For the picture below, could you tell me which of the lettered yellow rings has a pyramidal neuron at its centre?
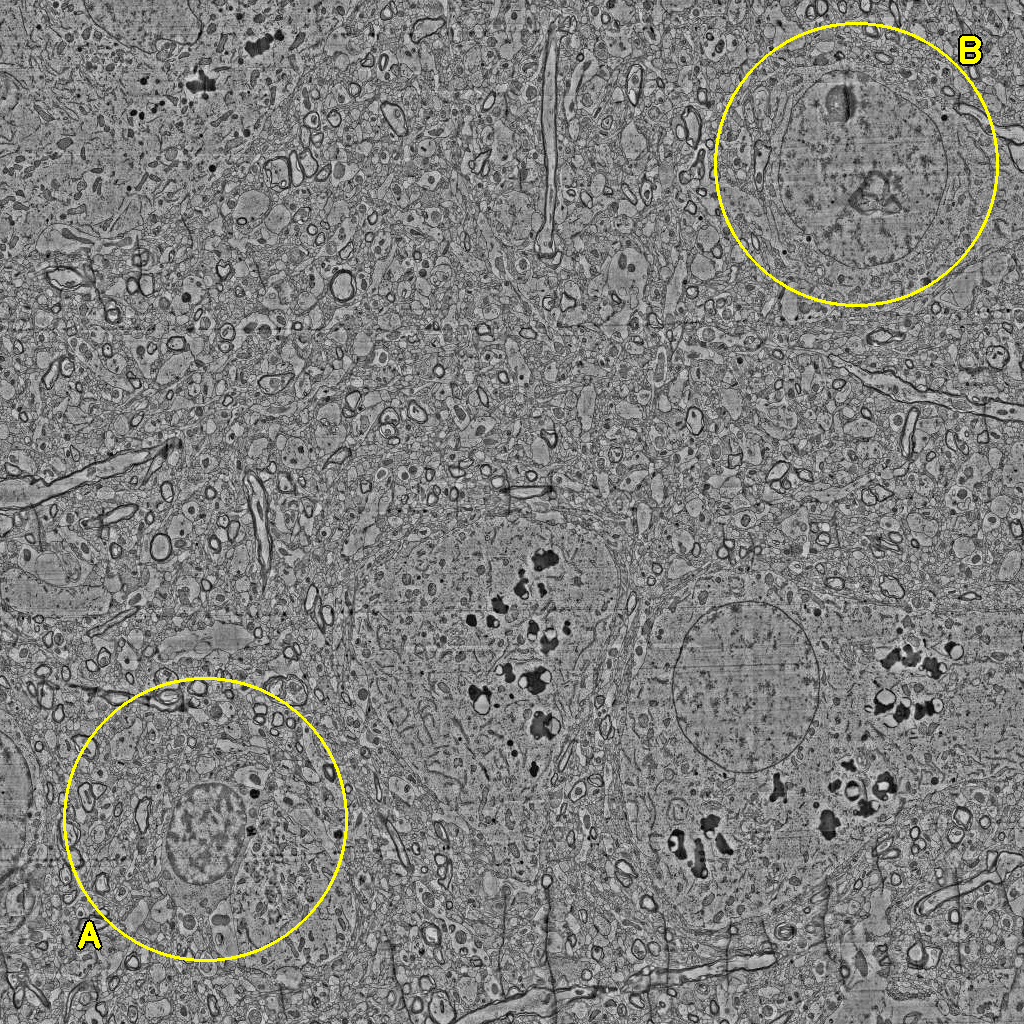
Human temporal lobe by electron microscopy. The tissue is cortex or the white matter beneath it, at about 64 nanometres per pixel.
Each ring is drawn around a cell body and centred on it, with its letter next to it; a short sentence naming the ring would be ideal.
Ring B is centred on it.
